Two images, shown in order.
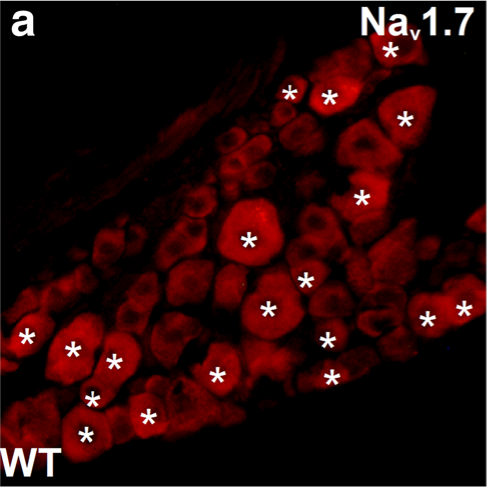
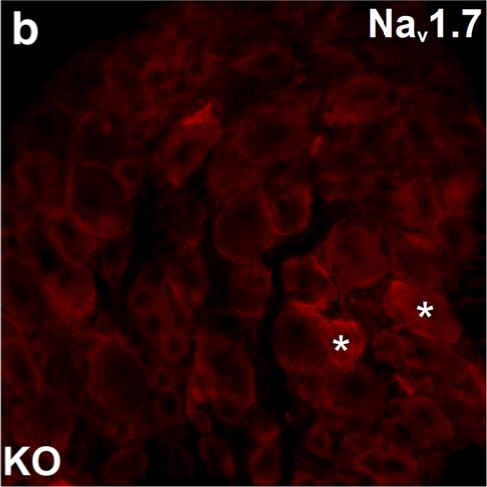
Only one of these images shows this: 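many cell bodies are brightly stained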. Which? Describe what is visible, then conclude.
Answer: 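First image: many cell bodies are filled with bright red stain, standing out against paler neighbours.
Hence: the first image.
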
